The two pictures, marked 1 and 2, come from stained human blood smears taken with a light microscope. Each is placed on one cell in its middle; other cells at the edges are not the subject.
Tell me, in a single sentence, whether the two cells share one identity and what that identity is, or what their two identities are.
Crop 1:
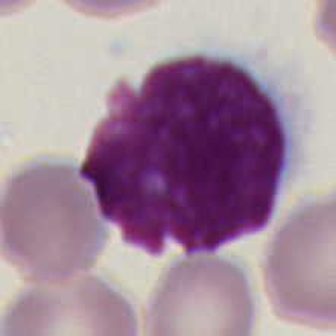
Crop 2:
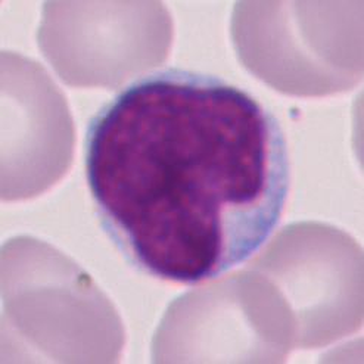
No, crop 1 shows a smudge cell, whereas in crop 2 the cell is a typical lymphocyte.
